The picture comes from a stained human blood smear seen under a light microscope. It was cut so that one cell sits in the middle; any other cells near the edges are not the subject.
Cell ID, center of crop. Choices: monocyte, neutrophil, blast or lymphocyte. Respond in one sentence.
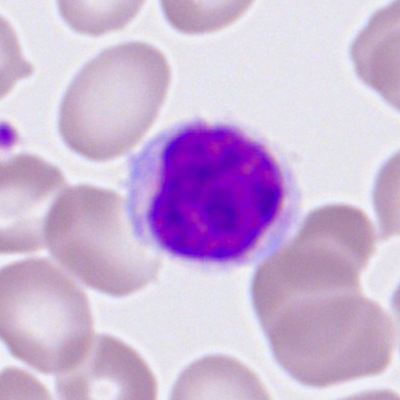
The cell occupying the middle of the crop is a lymphocyte.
